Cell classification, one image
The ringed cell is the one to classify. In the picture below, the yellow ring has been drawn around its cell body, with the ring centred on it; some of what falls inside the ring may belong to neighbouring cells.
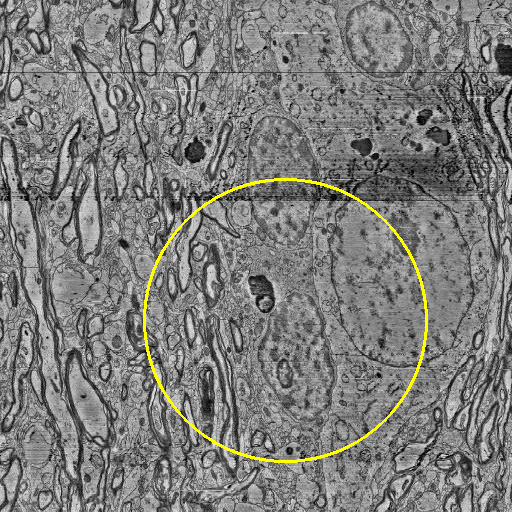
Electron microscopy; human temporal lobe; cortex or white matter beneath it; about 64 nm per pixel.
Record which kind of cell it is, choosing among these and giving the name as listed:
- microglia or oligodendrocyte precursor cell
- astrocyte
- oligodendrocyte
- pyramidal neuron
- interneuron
oligodendrocyte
